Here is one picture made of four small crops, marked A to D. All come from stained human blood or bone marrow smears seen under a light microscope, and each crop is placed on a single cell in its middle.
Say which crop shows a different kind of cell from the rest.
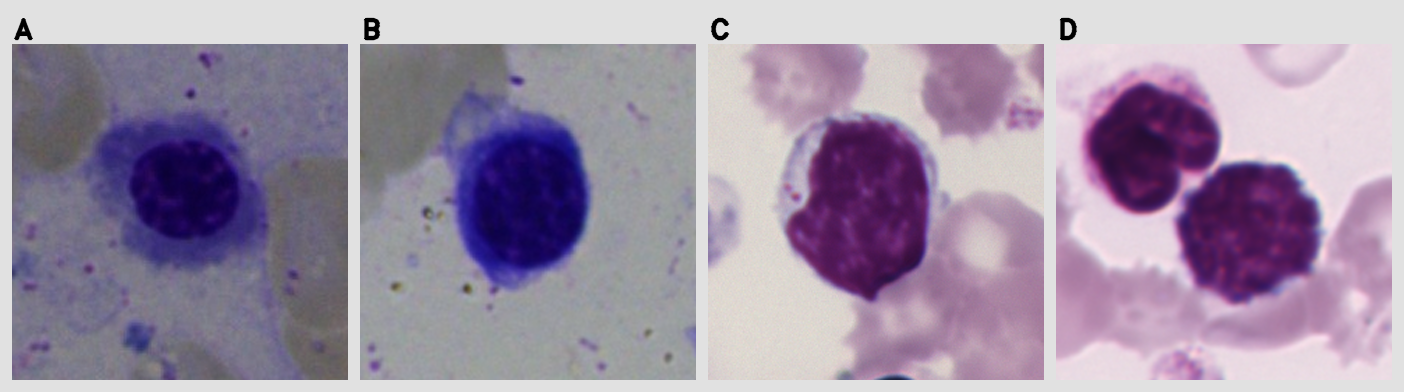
A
